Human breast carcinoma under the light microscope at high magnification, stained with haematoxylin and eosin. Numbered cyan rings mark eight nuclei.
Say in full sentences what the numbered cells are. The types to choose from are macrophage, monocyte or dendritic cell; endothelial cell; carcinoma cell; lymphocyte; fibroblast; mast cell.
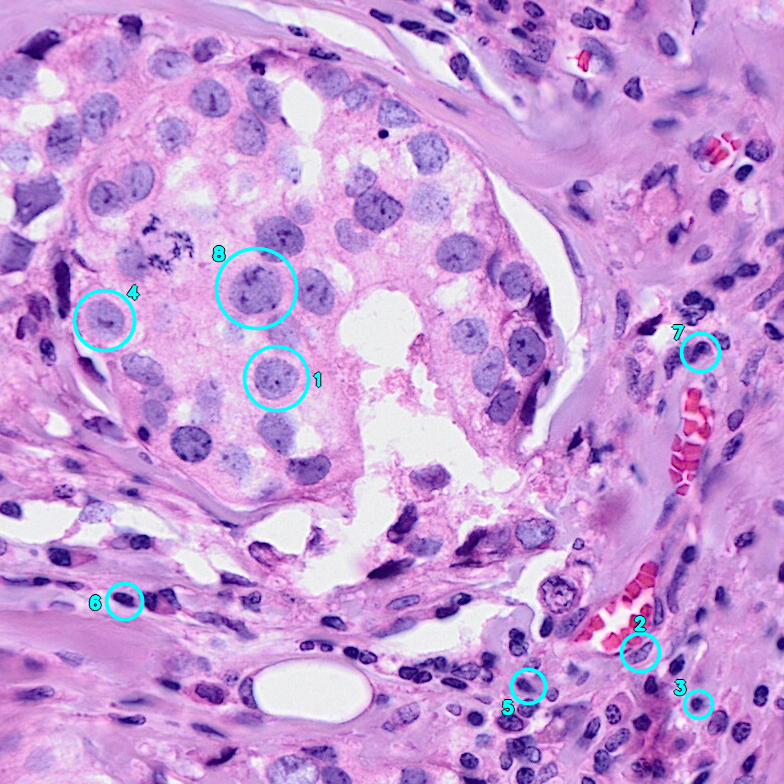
Cell 1 is a carcinoma cell, cell 2 is an endothelial cell, cell 3 is a lymphocyte, cell 4 is a carcinoma cell, cell 5 is a lymphocyte, cell 6 is a lymphocyte, cell 7 is a lymphocyte and cell 8 is a carcinoma cell.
